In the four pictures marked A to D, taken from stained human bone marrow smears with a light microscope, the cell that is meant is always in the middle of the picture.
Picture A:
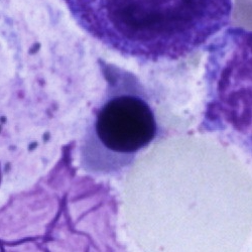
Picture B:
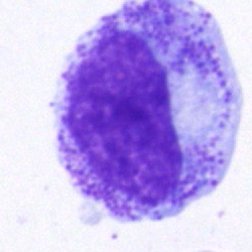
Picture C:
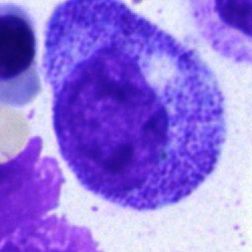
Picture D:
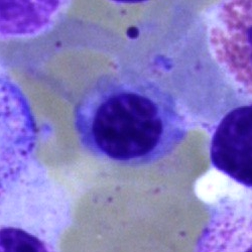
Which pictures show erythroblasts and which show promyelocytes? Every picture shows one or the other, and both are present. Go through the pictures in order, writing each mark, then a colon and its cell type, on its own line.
A: erythroblast
B: promyelocyte
C: promyelocyte
D: erythroblast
